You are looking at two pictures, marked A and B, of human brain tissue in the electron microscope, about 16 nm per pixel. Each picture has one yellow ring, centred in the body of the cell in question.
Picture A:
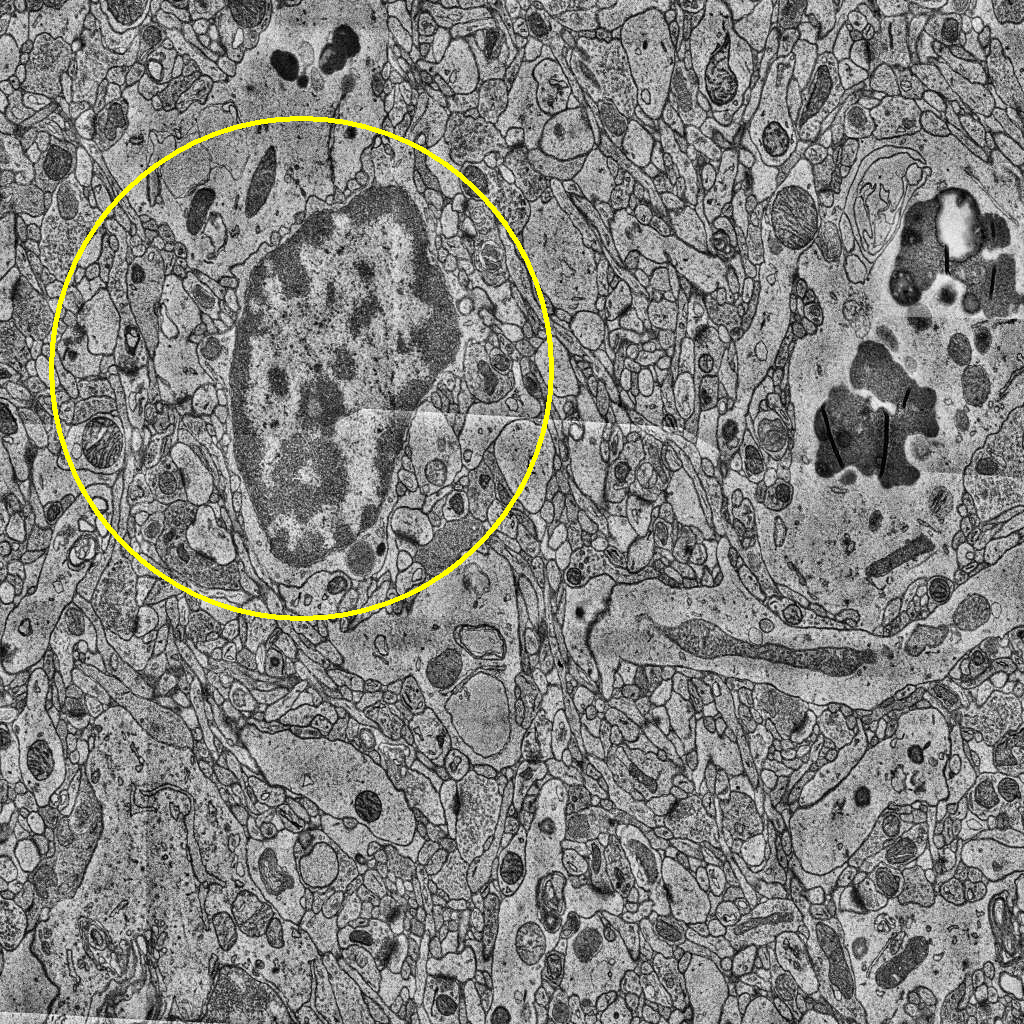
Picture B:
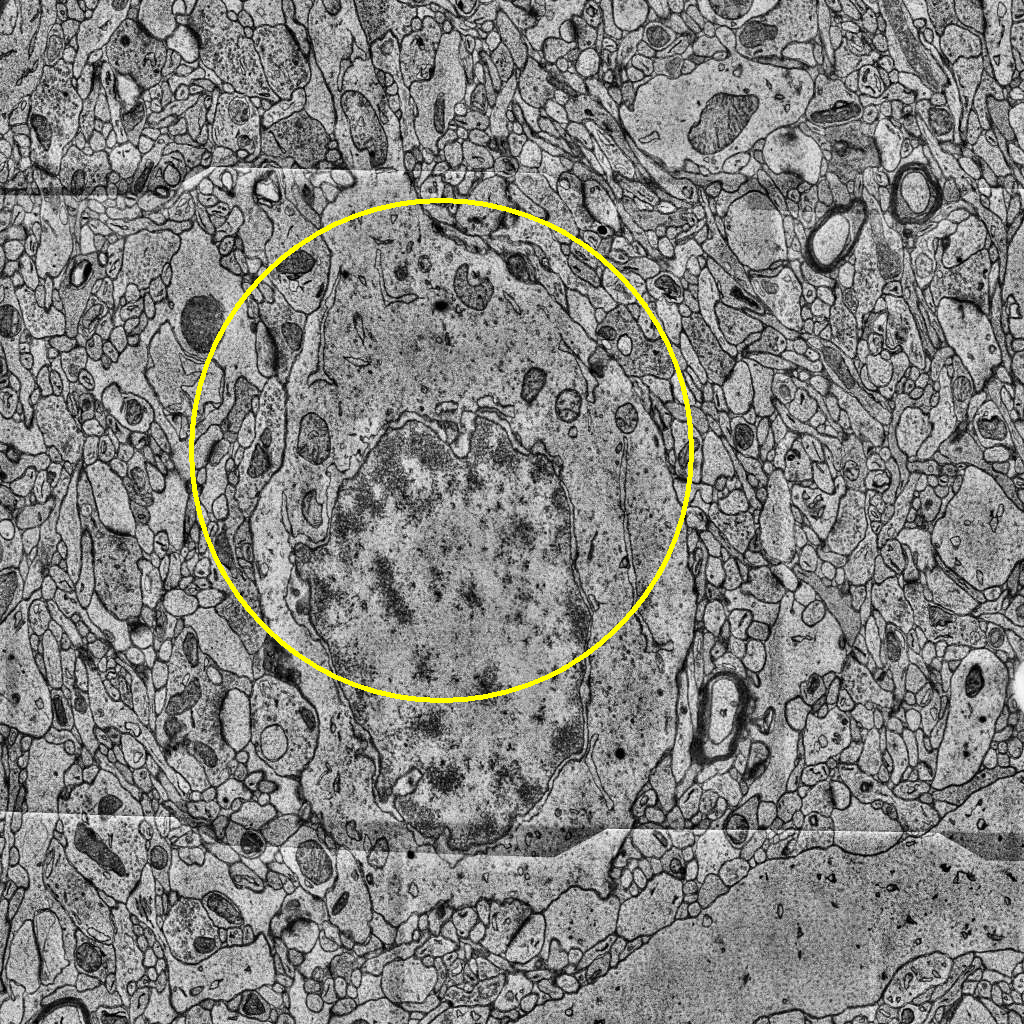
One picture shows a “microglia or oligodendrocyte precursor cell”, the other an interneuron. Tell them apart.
The cell in picture A is a “microglia or oligodendrocyte precursor cell”, and the one in picture B is an interneuron.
